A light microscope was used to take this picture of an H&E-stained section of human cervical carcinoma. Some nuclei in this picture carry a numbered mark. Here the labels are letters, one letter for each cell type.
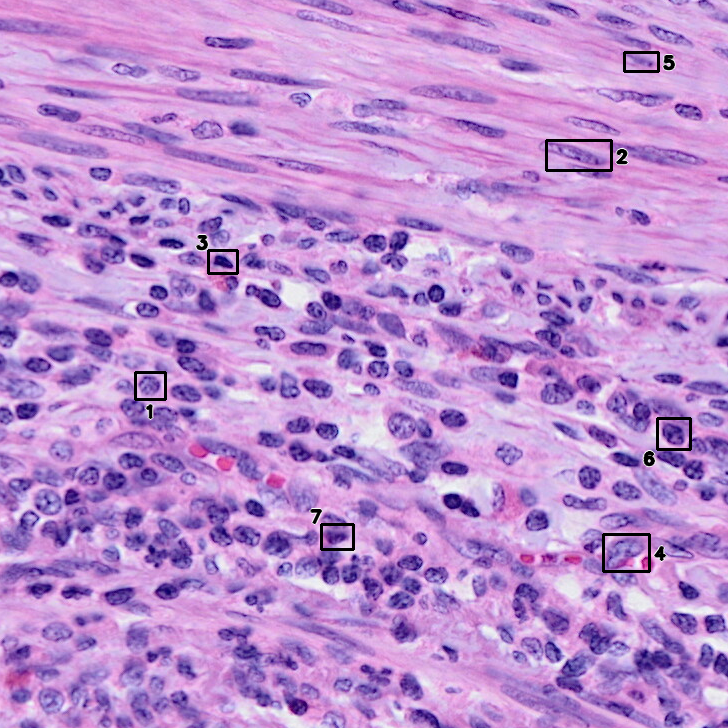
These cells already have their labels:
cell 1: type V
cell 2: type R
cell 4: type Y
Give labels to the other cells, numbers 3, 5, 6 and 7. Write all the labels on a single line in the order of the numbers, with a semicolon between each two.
type V; type R; type V; type V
